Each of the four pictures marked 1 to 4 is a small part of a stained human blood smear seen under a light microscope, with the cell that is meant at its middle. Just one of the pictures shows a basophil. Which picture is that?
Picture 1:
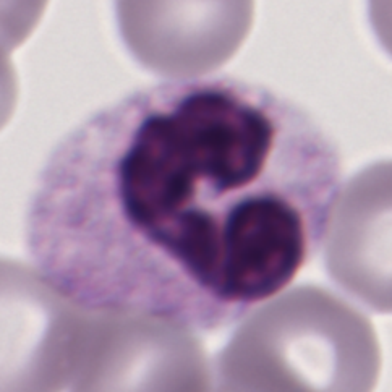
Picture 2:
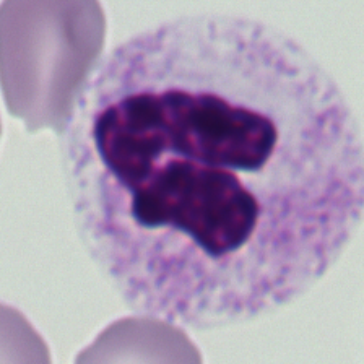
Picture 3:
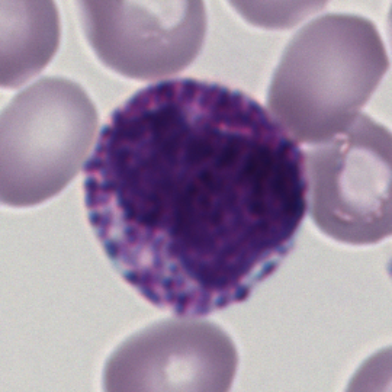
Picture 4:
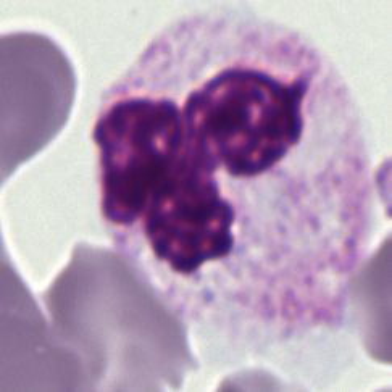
3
